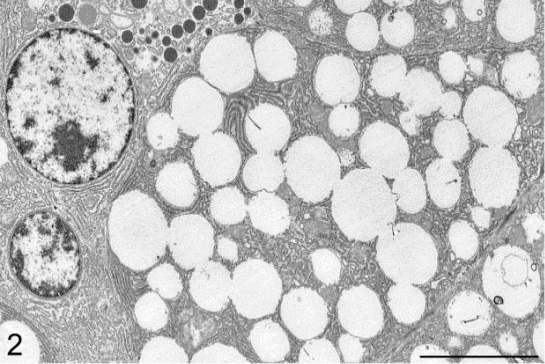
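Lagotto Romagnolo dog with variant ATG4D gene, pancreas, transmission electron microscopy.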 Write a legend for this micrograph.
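This electron micrograph shows pancreatic acinar cells whose cytoplasm is crowded with numerous clear vacuoles. Two round nuclei with dispersed chromatin lie at the left, the upper one with a large dark nucleolus. The cytoplasm contains parallel stacks of rough endoplasmic reticulum, and small dense round granules cluster at the top. Most of the field is taken up by round, electron-lucent, membrane-bound vacuoles of varying size, some containing faint membranous material.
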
